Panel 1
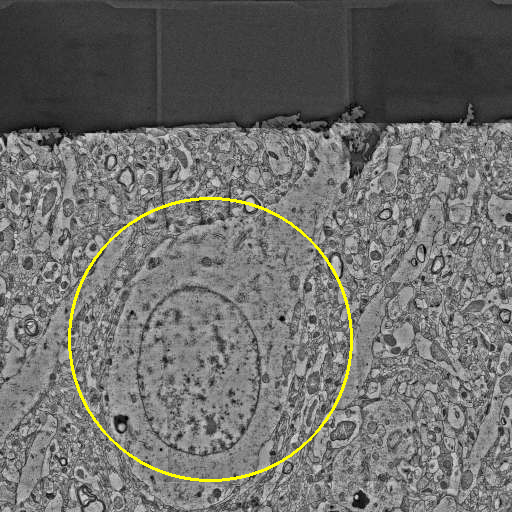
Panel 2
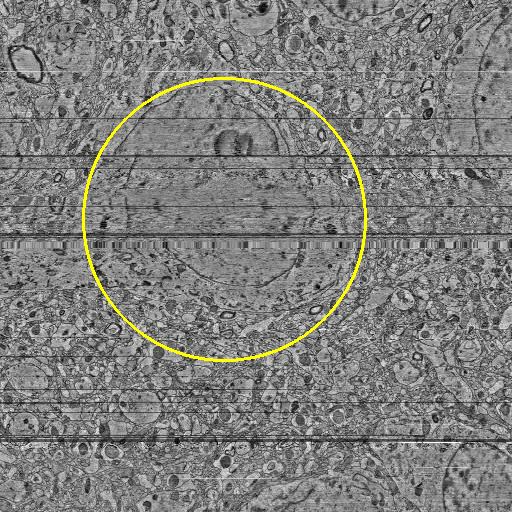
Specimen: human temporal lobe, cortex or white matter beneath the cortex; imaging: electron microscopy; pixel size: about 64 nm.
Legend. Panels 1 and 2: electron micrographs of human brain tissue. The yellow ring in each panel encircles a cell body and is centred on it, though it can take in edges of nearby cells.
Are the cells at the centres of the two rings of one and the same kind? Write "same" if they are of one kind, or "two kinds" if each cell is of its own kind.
same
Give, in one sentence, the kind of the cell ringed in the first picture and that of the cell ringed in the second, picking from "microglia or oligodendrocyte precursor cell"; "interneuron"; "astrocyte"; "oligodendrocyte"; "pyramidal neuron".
Each of the ringed cells, first and second, is a pyramidal neuron.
